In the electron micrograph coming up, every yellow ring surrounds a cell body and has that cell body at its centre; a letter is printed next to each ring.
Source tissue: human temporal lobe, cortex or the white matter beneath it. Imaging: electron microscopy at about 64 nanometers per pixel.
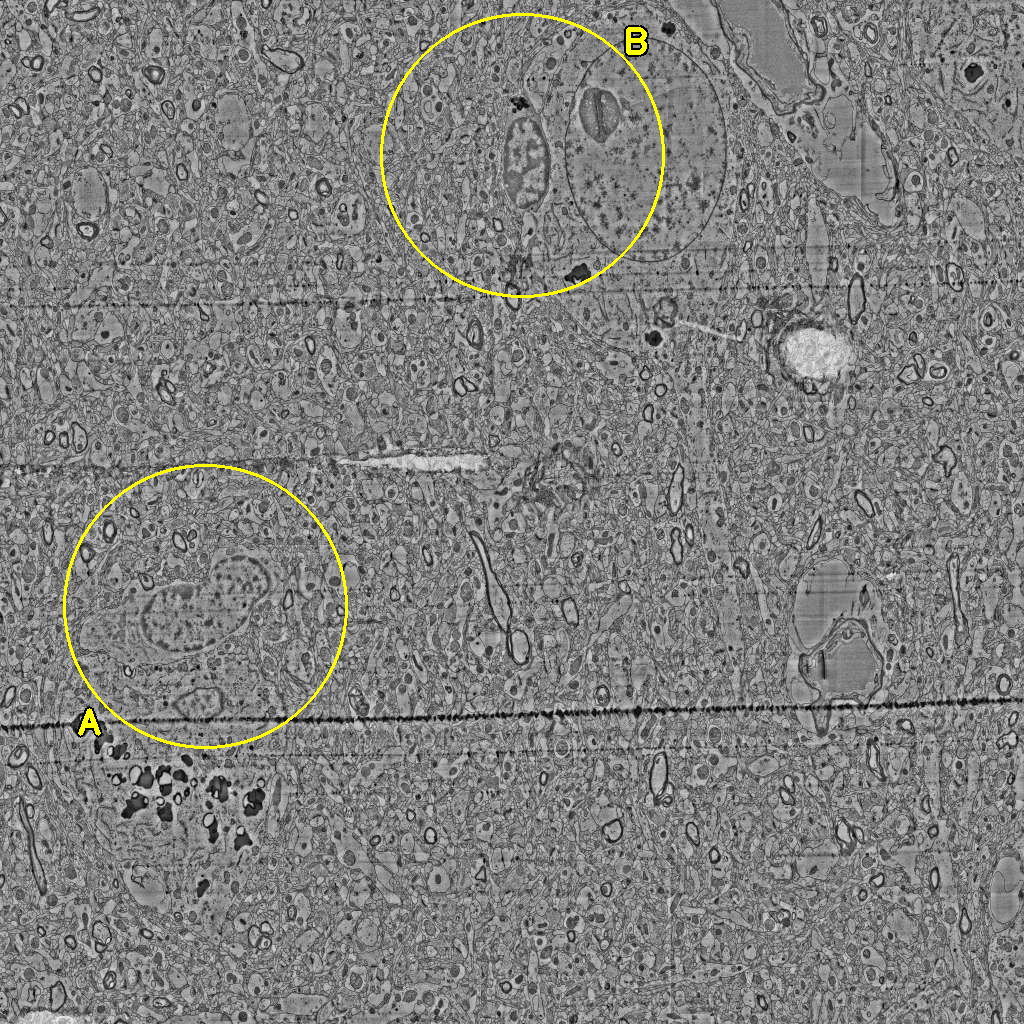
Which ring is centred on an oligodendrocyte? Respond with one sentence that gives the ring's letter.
Ring B is the one whose centre sits on the cell asked for in the picture.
